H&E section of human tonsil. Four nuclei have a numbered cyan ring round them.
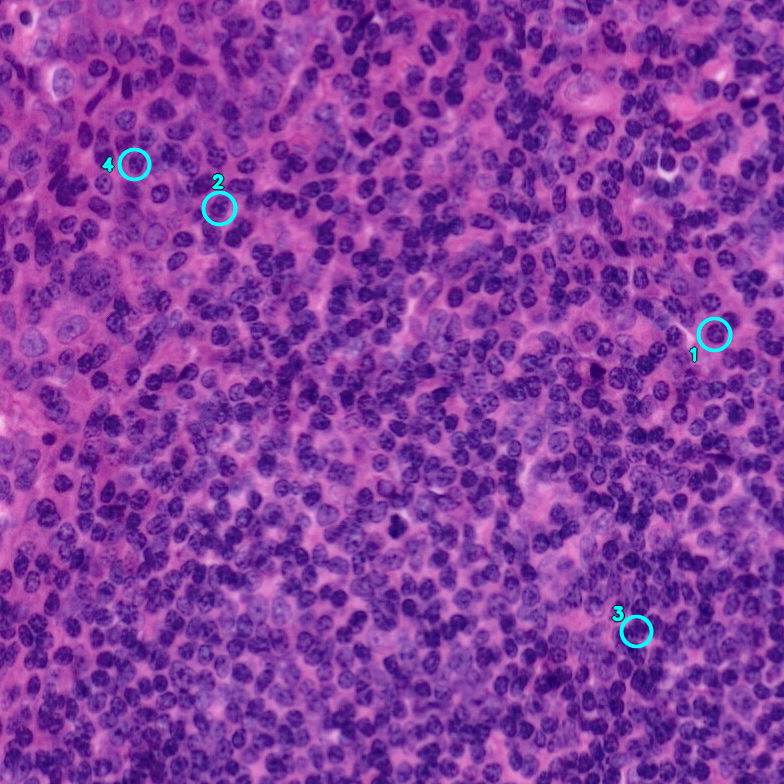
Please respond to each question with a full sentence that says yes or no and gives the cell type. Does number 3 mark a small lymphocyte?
Yes, to put it simply, cell number 3 is a small lymphocyte.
